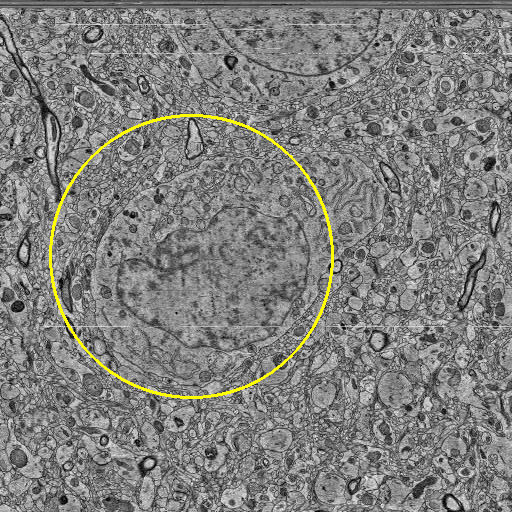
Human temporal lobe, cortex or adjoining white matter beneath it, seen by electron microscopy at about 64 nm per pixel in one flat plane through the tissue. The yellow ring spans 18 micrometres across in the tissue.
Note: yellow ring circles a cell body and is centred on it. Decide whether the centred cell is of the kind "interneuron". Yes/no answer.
Yes, the centred cell is of that kind.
